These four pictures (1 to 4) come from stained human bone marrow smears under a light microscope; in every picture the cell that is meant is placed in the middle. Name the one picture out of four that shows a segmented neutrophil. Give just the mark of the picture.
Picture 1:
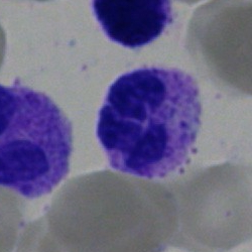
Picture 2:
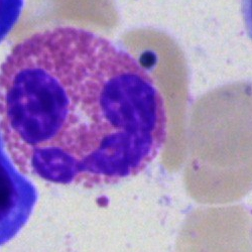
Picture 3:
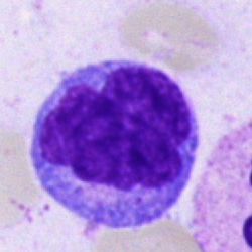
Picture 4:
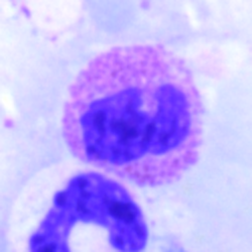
1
